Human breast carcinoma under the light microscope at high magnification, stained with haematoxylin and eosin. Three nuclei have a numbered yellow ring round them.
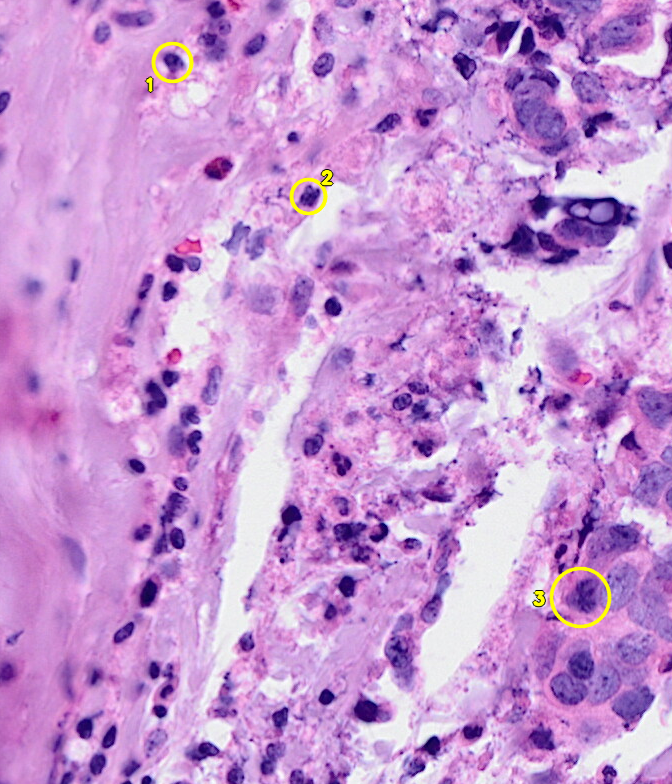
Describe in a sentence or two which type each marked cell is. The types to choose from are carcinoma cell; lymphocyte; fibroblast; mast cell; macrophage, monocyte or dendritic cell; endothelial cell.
Cell 1 is a lymphocyte, cell 2 is a lymphocyte and cell 3 is a carcinoma cell.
